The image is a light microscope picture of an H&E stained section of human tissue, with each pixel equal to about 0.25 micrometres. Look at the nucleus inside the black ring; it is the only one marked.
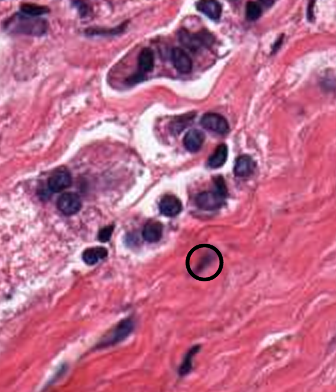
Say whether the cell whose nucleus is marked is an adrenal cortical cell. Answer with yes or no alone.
no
